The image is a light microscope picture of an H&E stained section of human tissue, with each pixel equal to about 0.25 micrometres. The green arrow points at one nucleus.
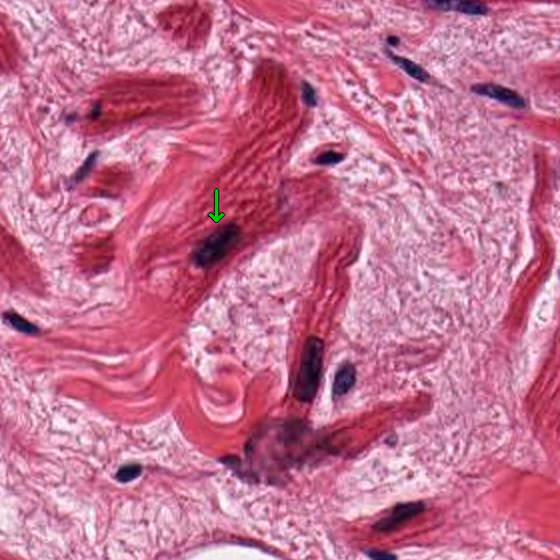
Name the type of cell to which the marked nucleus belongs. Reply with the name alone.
cardiomyocyte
